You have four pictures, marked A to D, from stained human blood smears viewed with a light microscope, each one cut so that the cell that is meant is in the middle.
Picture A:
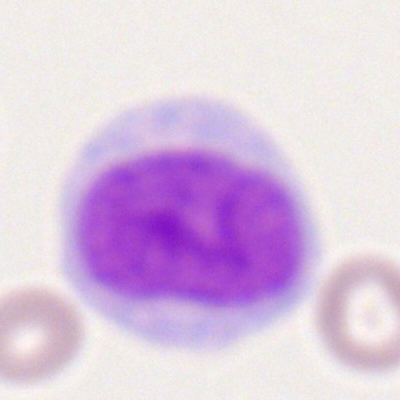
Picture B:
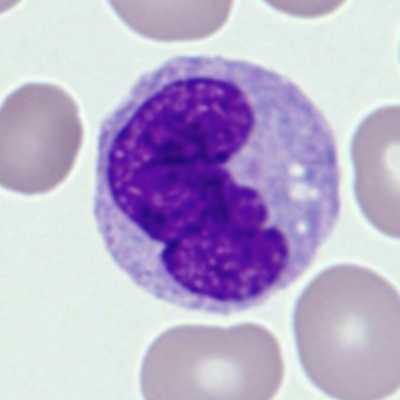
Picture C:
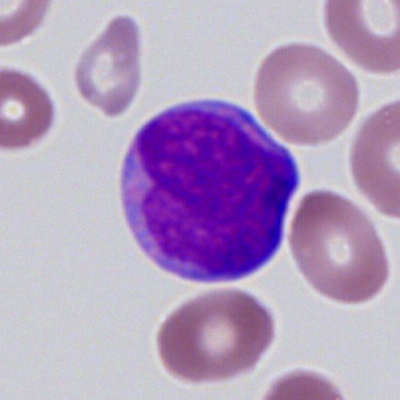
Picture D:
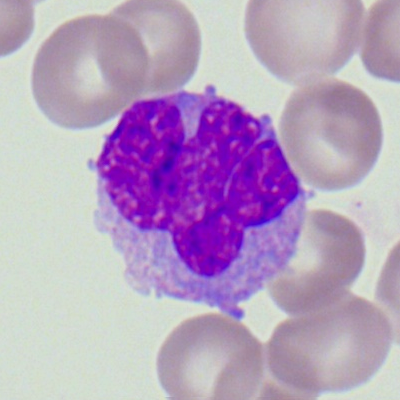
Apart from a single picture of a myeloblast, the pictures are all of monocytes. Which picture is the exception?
C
